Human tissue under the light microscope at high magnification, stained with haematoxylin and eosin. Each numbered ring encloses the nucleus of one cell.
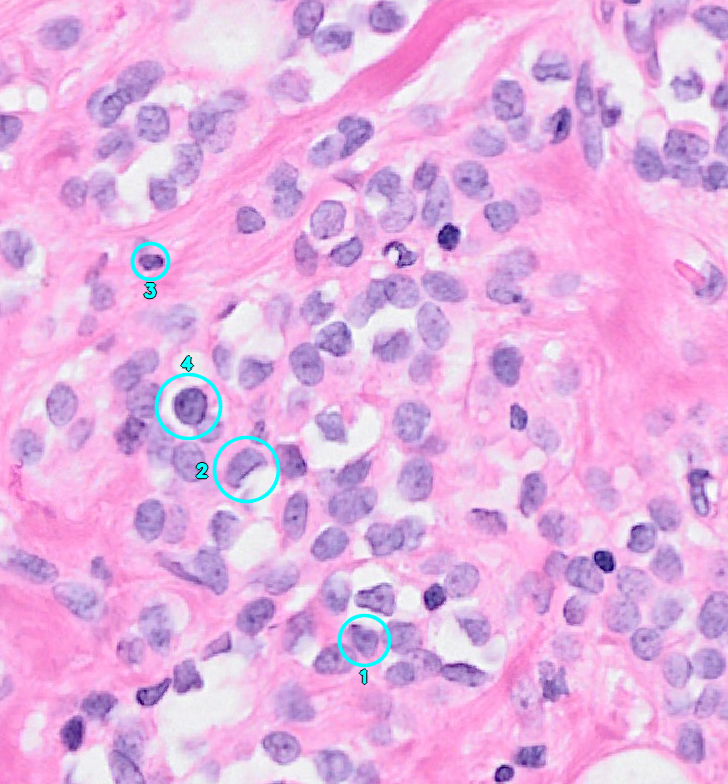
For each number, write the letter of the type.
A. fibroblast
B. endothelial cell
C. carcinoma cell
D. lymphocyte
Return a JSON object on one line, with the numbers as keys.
{"1": "C", "2": "C", "3": "D", "4": "C"}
